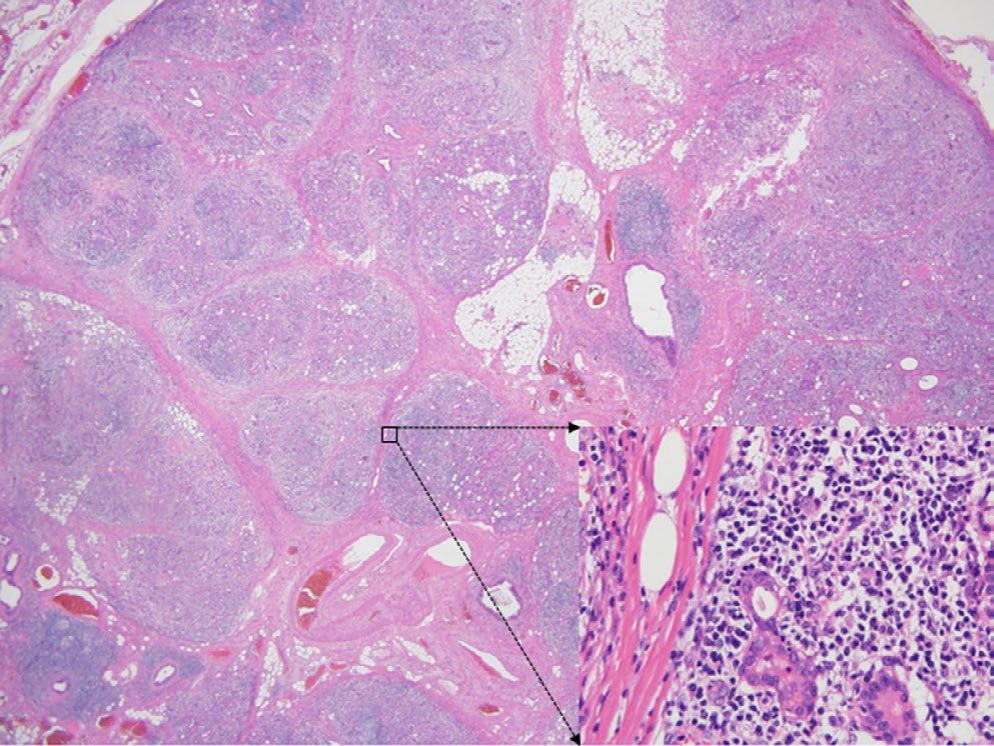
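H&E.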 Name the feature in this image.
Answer: Lobular architecture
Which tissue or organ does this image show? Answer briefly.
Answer: Salivary gland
